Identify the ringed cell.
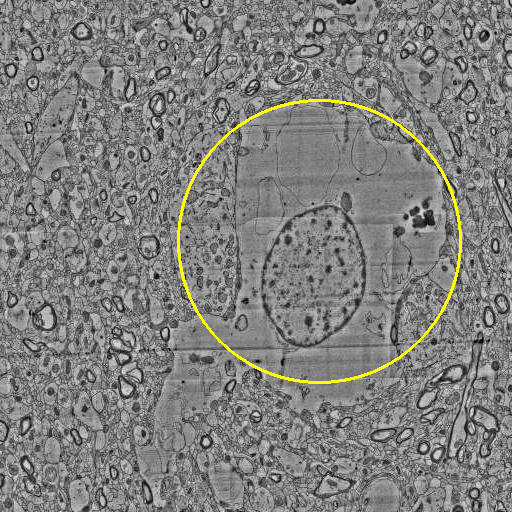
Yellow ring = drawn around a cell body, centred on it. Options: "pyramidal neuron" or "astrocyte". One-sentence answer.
What the ring is centred on is an astrocyte.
